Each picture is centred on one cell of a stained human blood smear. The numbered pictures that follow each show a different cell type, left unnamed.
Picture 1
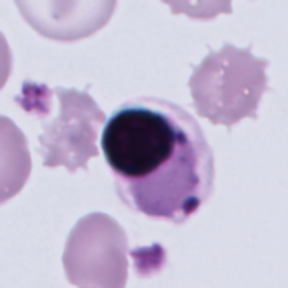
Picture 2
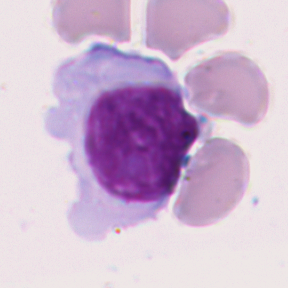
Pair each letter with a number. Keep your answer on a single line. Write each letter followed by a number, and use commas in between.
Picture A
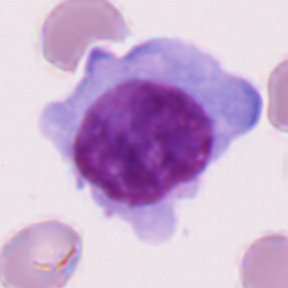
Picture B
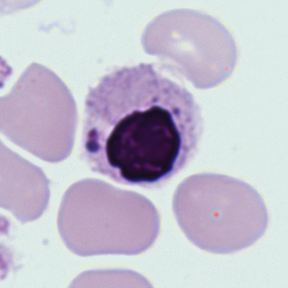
A 2, B 1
